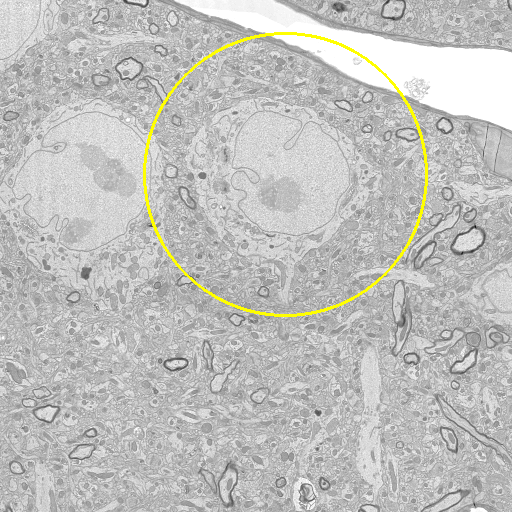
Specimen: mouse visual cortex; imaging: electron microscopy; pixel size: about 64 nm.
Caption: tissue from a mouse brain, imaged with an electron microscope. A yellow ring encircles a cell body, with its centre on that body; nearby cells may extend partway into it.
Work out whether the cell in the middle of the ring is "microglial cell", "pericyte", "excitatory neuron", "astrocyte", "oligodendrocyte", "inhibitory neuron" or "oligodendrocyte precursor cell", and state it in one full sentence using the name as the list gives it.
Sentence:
In the picture, the cell that the yellow ring surrounds at its centre is an excitatory neuron.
